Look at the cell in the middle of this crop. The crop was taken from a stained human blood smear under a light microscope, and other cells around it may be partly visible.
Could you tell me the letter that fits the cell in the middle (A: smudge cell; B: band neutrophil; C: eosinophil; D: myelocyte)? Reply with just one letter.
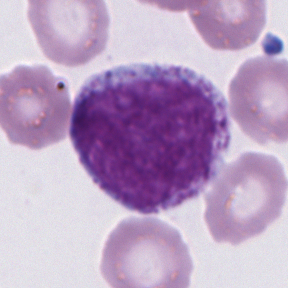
D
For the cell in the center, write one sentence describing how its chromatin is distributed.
The nuclear chromatin is fine, showing no coarse aggregates.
